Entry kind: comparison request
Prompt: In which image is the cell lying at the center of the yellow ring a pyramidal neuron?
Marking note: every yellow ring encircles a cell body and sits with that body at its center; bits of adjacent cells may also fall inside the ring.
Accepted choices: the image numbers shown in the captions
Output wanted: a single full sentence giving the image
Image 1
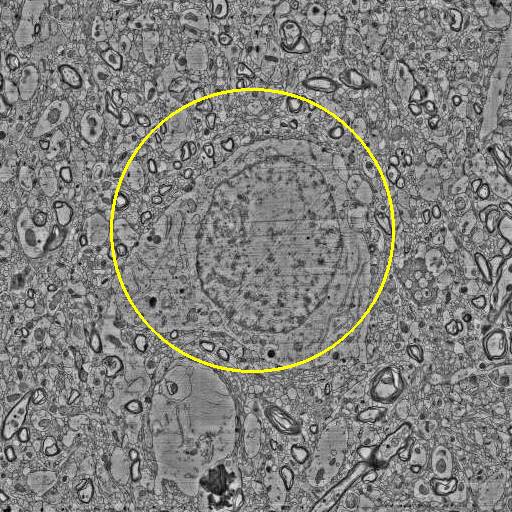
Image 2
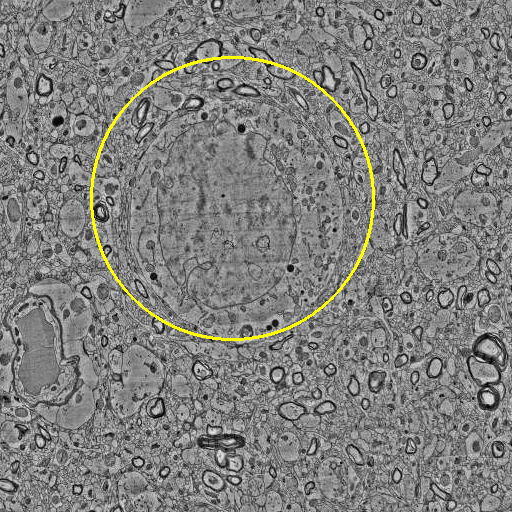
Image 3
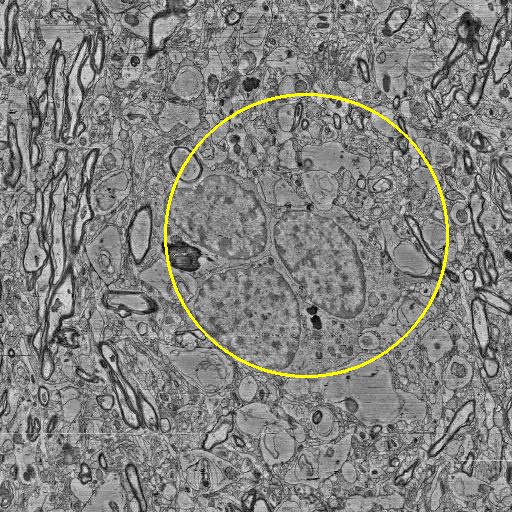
In image 2, the ringed cell at the center matches the prompt.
